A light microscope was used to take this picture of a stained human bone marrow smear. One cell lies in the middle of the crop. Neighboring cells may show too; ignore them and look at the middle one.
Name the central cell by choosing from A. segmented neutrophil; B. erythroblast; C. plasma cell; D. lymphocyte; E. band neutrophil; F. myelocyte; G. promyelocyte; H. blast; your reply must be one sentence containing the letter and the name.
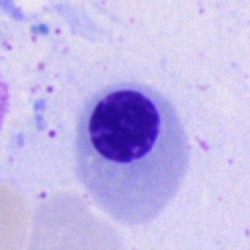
The centrally located cell is an erythroblast, making option B the correct choice.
